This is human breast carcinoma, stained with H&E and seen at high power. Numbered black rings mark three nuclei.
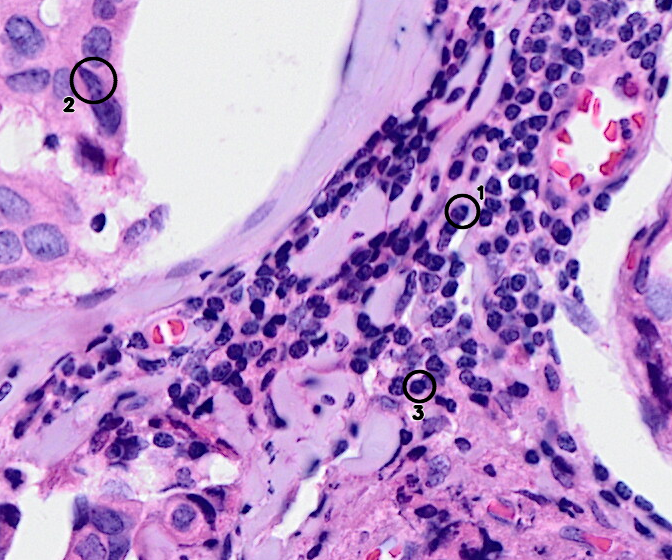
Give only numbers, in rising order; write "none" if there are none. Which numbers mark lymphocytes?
1, 3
